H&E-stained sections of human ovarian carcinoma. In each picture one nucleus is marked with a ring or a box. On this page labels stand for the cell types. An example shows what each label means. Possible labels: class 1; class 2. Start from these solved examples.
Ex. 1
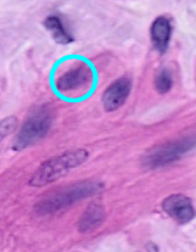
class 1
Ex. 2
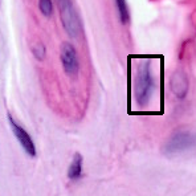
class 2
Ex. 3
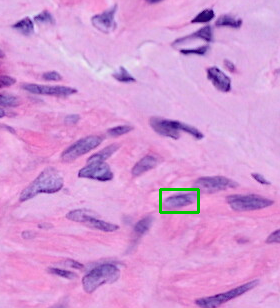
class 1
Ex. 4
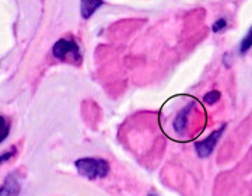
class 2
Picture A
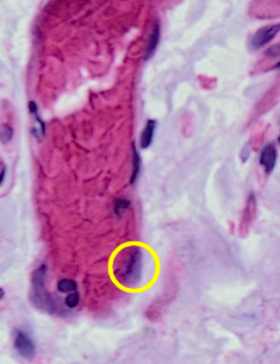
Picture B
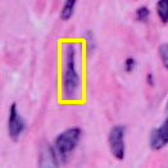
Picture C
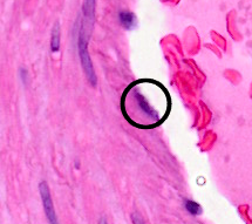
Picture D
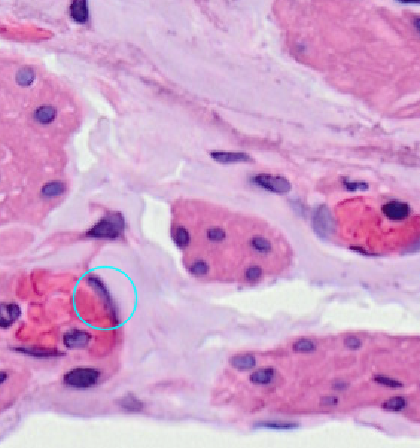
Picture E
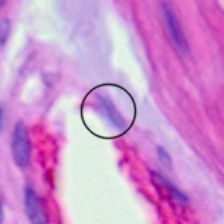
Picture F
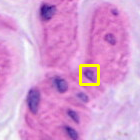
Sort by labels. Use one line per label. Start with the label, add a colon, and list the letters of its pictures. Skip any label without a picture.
class 1: B, F
class 2: A, C, D, E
